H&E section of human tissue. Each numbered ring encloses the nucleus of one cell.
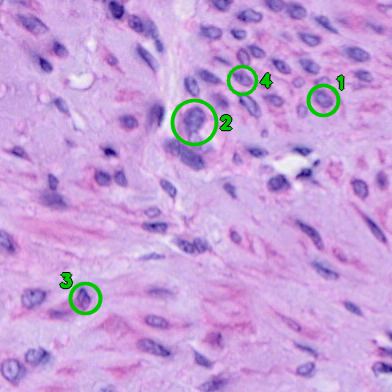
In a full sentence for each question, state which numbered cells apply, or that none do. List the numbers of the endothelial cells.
Only cell 2 should be marked as an endothelial cell.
